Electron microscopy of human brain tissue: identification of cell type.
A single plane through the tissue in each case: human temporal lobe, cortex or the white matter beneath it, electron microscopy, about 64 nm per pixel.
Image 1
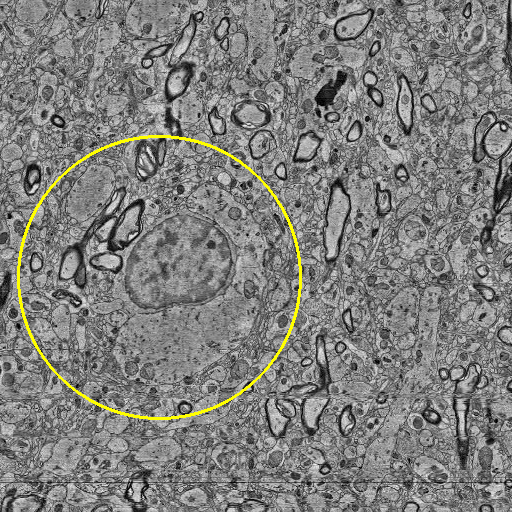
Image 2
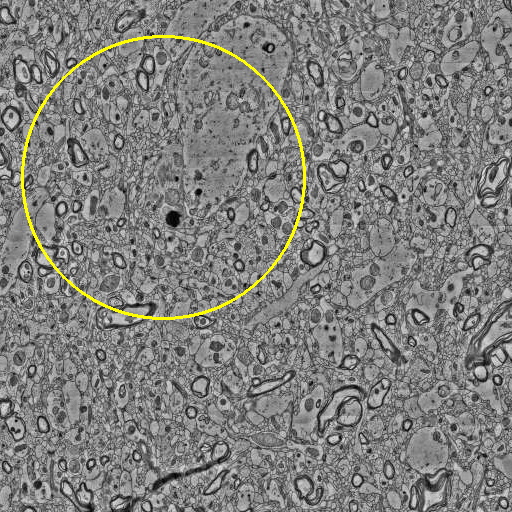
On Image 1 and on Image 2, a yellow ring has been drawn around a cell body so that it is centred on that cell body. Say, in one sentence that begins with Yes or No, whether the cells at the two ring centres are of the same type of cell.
Yes, both cells are the same type of cell.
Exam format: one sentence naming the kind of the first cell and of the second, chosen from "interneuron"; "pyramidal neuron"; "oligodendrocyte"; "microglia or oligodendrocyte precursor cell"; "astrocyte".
Each of the ringed cells, first and second, is an oligodendrocyte.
